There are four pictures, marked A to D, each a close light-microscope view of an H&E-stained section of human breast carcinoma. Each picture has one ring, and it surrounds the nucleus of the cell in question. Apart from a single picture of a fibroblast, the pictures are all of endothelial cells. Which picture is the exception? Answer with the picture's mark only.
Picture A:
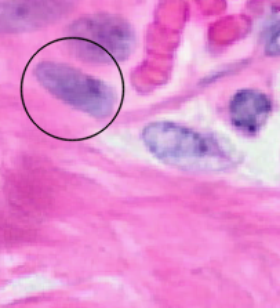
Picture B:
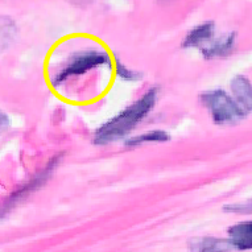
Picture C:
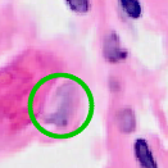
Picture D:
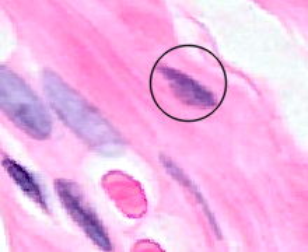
D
